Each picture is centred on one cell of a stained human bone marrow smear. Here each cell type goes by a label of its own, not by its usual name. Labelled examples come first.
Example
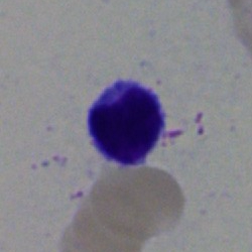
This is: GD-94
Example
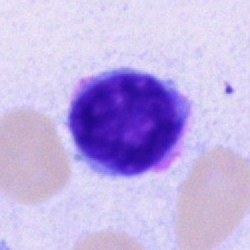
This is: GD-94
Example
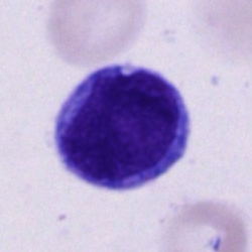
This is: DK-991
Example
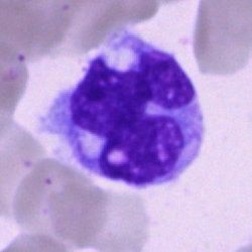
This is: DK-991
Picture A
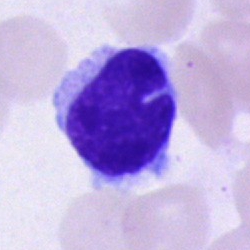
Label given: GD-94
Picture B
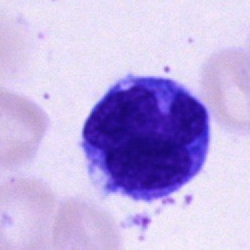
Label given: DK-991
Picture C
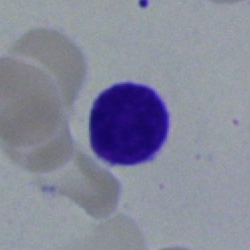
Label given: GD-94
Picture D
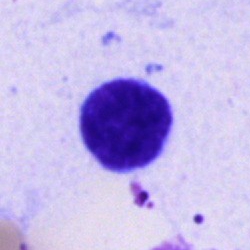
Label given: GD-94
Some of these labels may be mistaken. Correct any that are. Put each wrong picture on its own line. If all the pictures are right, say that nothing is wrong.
A is labelled GD-94; correct label: DK-991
